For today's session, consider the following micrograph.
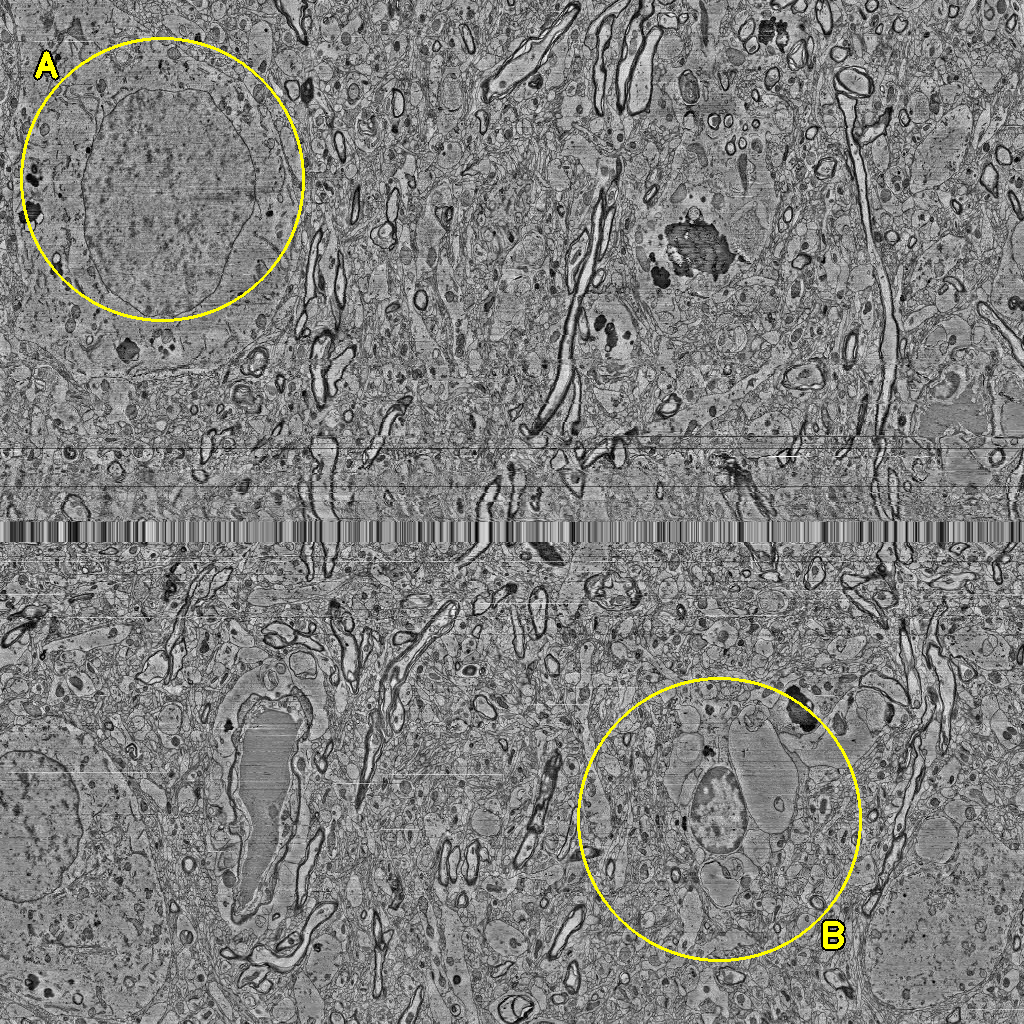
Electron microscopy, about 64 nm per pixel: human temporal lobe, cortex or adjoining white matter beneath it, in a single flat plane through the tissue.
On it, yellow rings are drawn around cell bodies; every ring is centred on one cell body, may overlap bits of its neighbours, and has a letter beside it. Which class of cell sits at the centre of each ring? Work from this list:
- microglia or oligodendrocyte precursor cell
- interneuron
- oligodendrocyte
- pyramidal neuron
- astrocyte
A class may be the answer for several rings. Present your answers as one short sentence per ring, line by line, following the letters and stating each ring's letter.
Ring A centres on a pyramidal neuron.
Ring B centres on a microglial cell or oligodendrocyte precursor cell.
